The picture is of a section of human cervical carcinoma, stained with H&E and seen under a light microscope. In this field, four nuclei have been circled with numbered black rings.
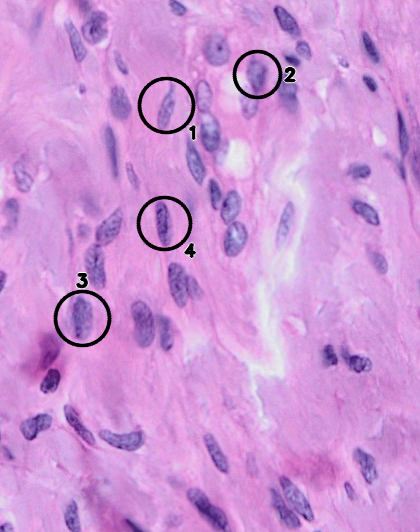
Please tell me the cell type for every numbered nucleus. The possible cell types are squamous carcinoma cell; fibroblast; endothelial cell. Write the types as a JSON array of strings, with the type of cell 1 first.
["fibroblast", "endothelial cell", "fibroblast", "fibroblast"]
